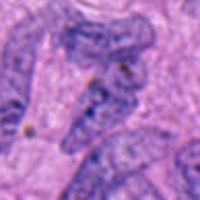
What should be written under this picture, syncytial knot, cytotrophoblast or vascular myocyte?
vascular myocyte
